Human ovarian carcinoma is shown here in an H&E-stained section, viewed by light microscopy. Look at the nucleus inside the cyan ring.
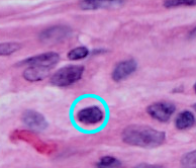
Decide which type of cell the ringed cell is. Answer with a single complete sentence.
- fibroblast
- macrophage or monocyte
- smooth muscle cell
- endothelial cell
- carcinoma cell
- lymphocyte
The identity of the ringed cell is that of a lymphocyte.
